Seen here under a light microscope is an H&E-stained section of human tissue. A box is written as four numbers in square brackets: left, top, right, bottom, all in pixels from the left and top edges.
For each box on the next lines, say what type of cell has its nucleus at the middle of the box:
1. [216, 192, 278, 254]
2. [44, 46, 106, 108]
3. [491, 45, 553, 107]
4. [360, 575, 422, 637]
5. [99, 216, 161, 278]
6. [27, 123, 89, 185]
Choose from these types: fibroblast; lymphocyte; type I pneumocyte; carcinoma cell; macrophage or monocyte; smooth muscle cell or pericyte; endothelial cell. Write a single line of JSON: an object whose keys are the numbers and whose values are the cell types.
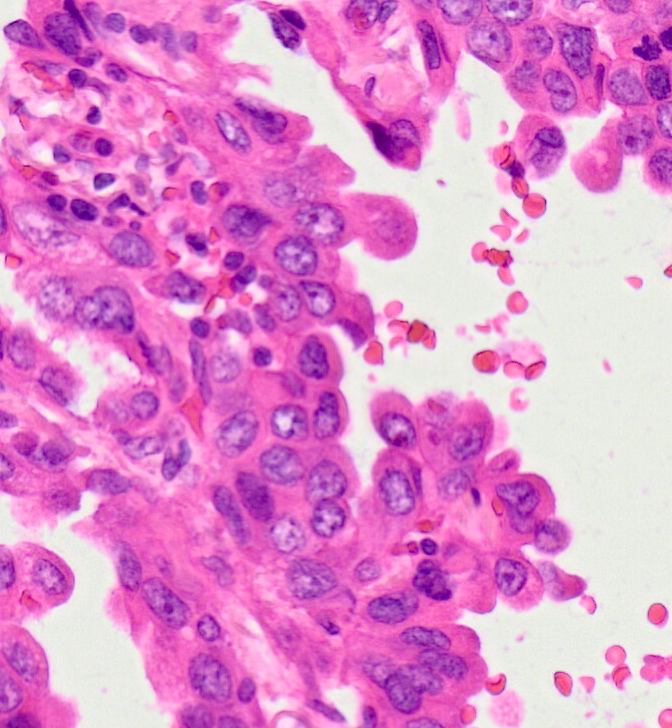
{"1": "carcinoma cell", "2": "lymphocyte", "3": "carcinoma cell", "4": "carcinoma cell", "5": "carcinoma cell", "6": "lymphocyte"}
